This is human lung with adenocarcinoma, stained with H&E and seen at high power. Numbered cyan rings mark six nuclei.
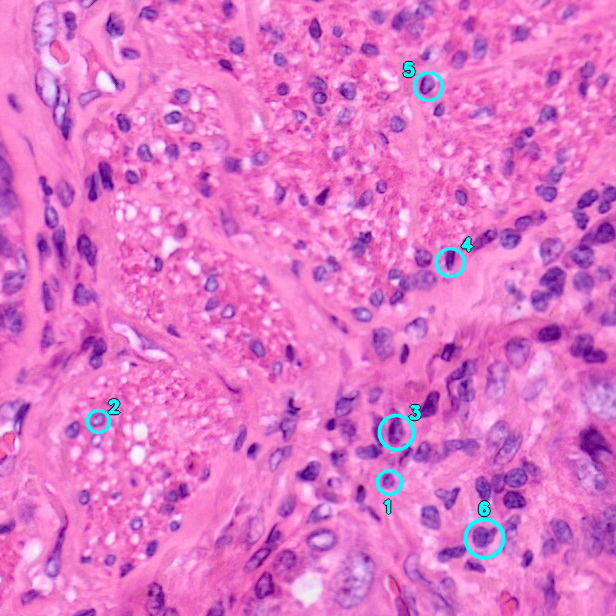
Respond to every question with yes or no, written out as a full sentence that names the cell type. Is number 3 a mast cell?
No, the one with number 3 is a plasma cell, not a mast cell.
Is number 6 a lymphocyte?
Yes, the cell indicated by number 6 is a lymphocyte.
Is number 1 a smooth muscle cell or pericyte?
No, a smooth muscle cell or pericyte is not what cell 1 is; it is a lymphocyte.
